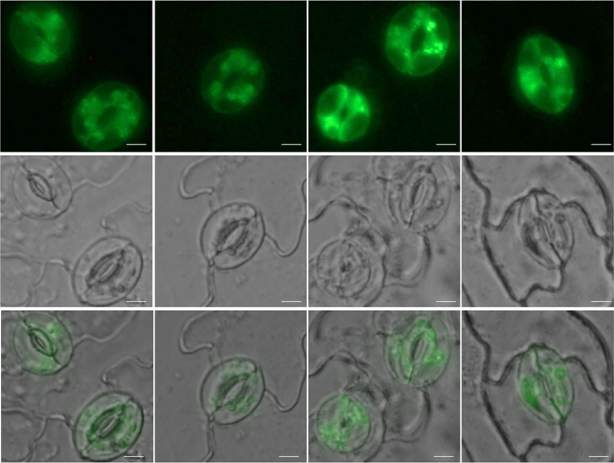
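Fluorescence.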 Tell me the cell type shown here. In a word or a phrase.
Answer: Guard cells.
